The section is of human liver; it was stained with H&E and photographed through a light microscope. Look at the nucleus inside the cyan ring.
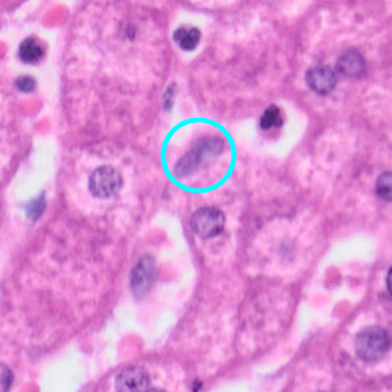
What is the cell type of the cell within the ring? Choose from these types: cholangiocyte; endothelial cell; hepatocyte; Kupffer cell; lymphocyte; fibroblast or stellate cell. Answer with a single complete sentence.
In this preparation, the cell within the ring is a Kupffer cell.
